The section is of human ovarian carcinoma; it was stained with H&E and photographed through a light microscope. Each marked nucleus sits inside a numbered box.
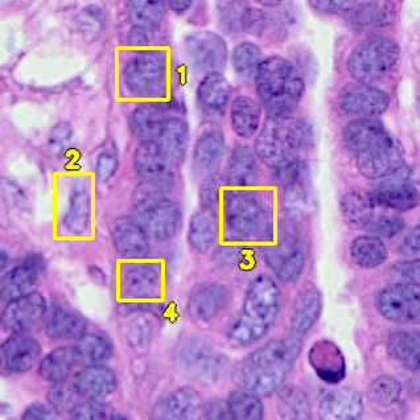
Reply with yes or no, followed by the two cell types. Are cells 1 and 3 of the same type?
Yes, cell 1 and cell 3 are both carcinoma cells.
